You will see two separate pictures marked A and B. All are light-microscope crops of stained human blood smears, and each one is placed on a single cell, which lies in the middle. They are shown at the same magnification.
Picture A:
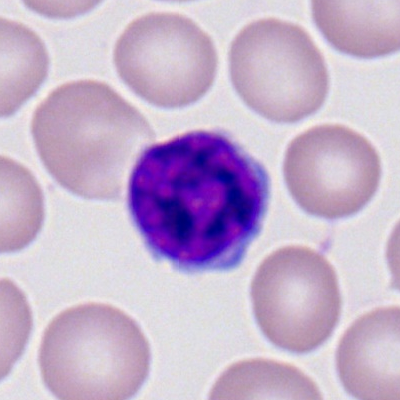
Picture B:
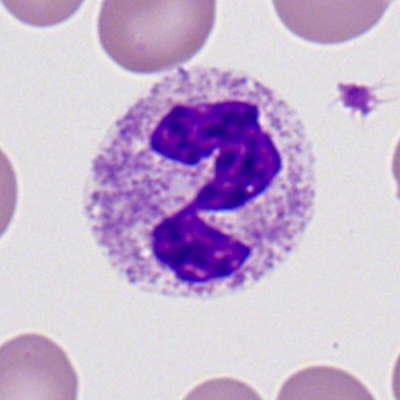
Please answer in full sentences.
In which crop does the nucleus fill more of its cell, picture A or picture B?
It is the cell in picture A that is filled more by its nucleus.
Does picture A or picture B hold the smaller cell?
Picture A holds the smaller cell, since the cell in picture B covers about 2.5 times as much area.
